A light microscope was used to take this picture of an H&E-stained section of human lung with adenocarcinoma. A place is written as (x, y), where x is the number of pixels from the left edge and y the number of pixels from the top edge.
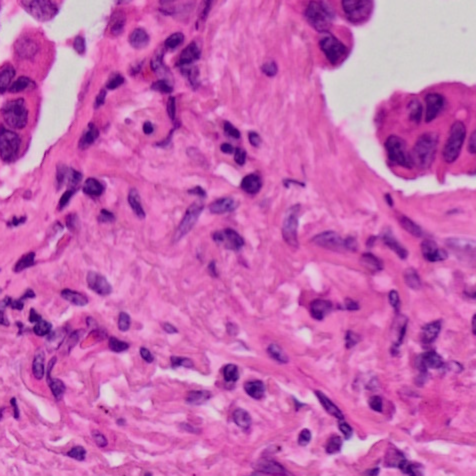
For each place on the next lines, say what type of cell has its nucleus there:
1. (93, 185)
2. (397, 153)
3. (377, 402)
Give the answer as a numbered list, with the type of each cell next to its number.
1. plasma cell
2. carcinoma cell
3. plasma cell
